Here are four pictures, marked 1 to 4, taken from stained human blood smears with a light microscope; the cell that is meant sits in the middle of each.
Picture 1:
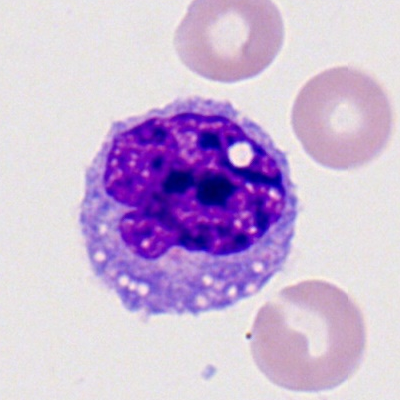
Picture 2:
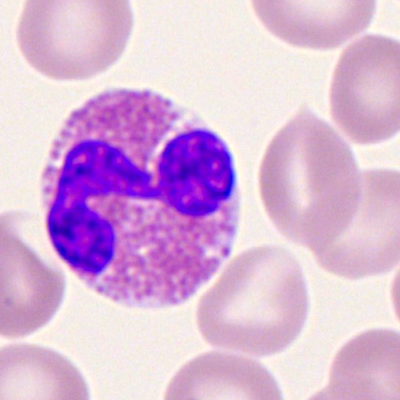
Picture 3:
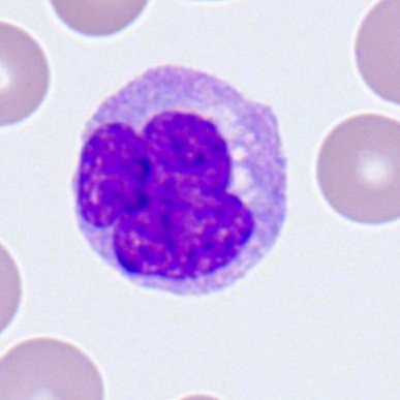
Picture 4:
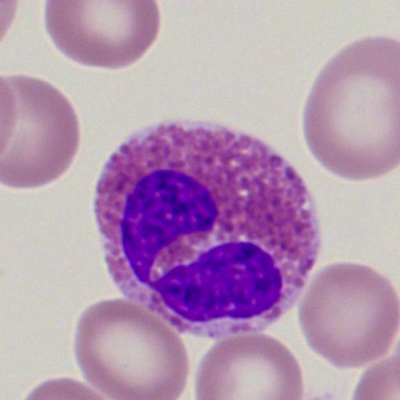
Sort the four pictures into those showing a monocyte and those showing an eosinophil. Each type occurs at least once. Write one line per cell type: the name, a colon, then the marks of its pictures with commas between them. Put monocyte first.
monocyte: 1, 3
eosinophil: 2, 4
